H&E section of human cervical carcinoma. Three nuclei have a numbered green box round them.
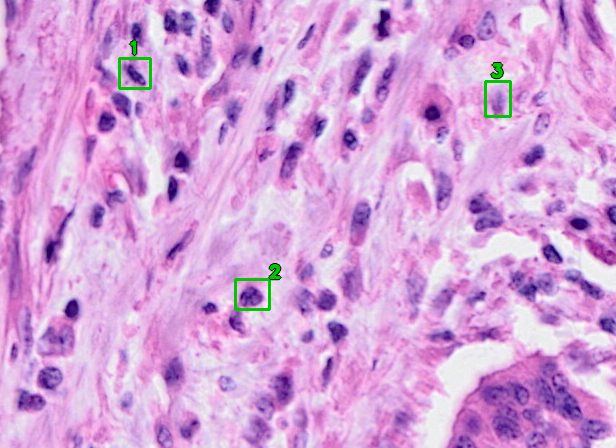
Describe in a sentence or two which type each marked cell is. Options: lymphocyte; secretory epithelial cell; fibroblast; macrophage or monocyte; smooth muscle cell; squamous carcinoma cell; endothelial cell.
Cells 1 and 2 are lymphocytes. Cell 3 is a fibroblast.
